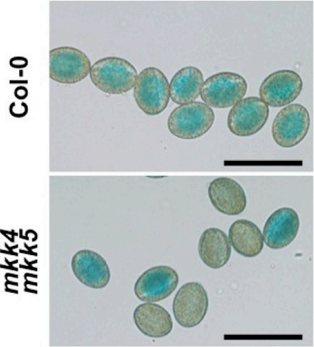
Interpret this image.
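Mature pollen grains lie loosely scattered, each an oval grain of similar size with a thick, finely sculptured outer wall. Stained and pale grains lie side by side.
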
